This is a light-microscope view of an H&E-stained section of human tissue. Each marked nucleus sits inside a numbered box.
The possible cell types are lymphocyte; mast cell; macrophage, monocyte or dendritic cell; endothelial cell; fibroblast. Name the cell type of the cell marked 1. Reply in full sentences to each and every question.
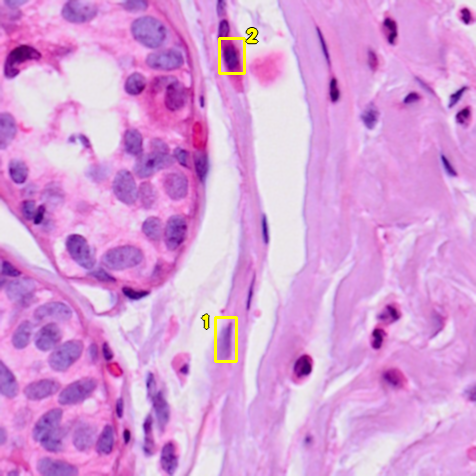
Cell 1 is classified as a fibroblast.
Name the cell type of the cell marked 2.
The cell given label 2 is a mast cell.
